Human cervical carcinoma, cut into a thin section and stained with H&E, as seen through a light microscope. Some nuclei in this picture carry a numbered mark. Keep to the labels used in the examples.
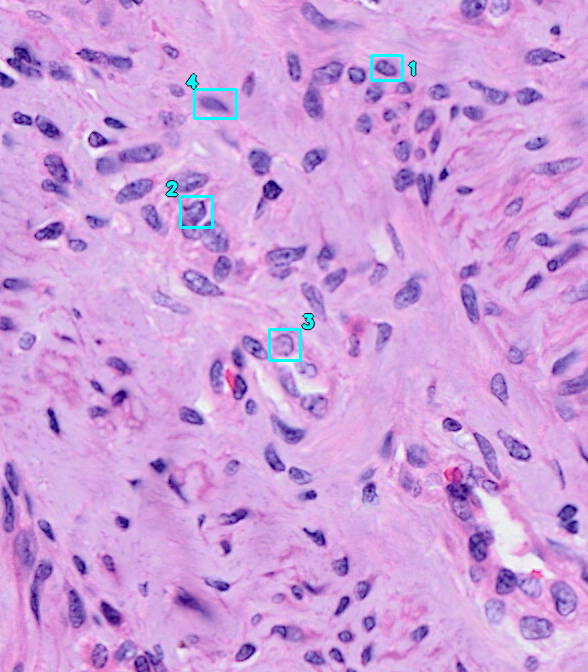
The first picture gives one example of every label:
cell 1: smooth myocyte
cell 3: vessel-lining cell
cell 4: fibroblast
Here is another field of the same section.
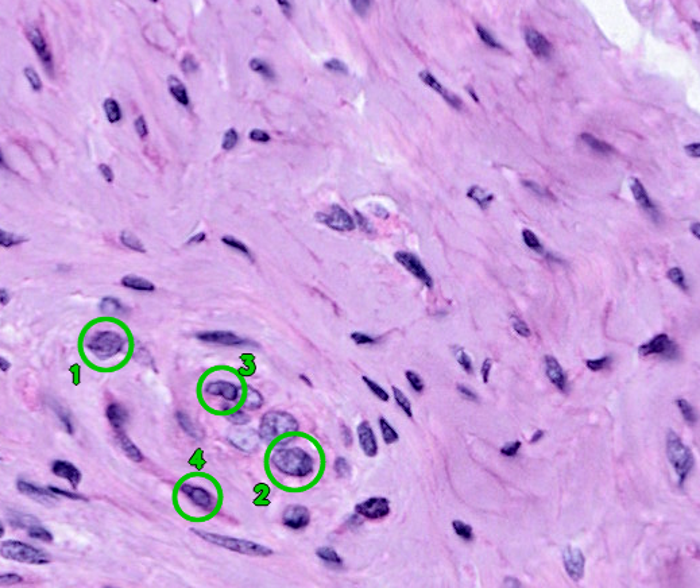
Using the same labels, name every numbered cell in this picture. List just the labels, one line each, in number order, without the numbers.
fibroblast
vessel-lining cell
vessel-lining cell
smooth myocyte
